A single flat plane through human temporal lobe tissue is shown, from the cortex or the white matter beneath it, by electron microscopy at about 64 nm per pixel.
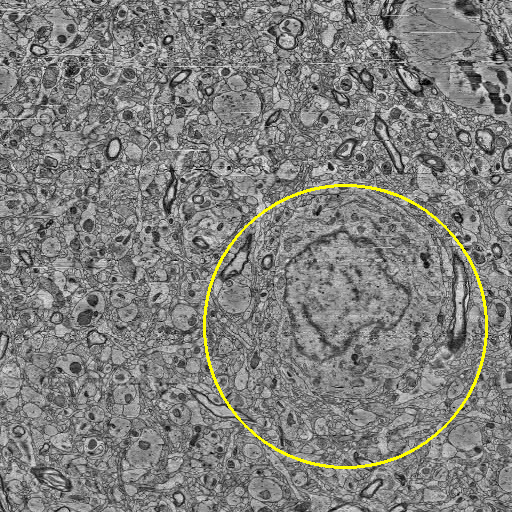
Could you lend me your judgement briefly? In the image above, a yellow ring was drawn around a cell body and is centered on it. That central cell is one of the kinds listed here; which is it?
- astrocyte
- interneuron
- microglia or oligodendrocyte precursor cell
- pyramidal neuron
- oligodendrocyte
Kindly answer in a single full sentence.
Going by the list, an interneuron is the kind at the ring's center in the picture.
